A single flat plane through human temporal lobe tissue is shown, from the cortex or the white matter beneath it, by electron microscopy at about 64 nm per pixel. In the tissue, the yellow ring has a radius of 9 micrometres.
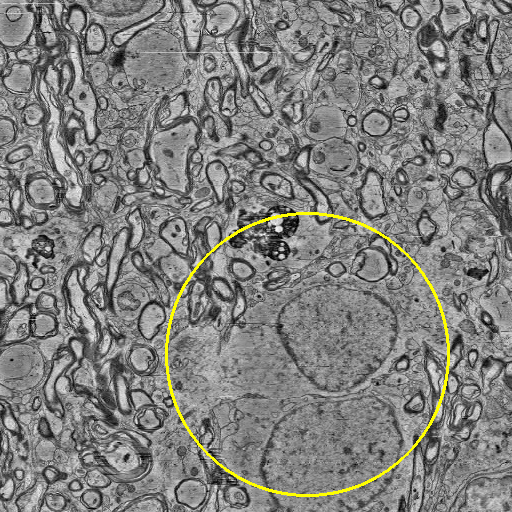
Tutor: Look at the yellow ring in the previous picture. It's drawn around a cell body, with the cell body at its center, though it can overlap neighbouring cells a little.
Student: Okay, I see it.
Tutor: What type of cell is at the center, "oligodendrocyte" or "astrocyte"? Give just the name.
astrocyte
